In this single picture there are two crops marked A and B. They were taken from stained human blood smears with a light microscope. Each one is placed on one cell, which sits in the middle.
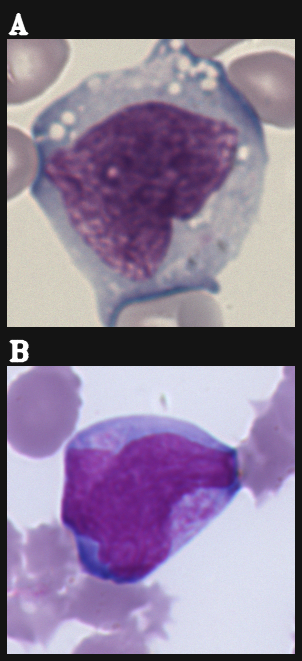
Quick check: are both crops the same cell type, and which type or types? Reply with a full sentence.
Yes, it is myeloblasts that both crops show.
